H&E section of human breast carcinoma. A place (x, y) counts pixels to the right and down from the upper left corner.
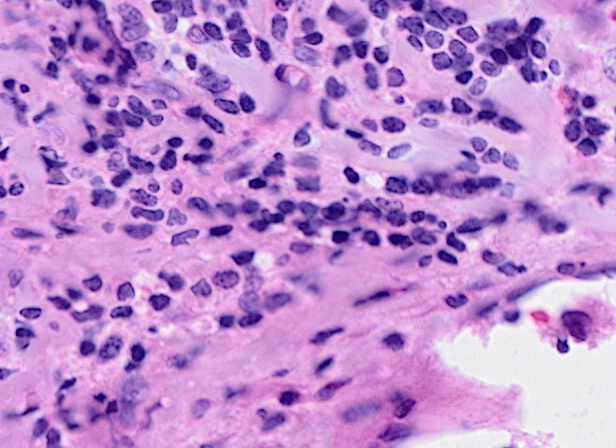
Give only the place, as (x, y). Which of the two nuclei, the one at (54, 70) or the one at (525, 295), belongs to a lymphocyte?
(54, 70)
